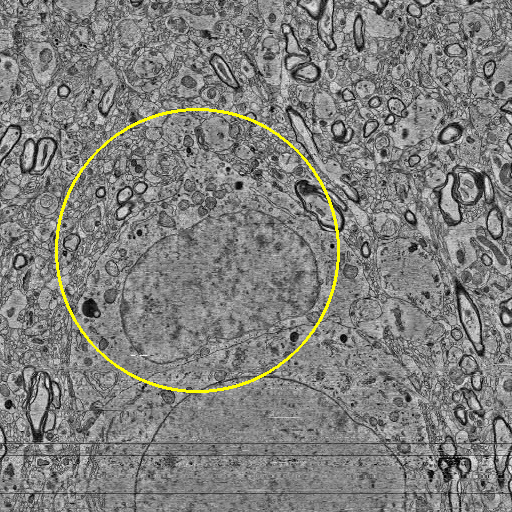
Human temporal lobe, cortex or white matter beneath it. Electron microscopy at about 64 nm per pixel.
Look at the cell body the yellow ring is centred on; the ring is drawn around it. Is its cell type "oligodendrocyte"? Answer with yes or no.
No, its cell type is another.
